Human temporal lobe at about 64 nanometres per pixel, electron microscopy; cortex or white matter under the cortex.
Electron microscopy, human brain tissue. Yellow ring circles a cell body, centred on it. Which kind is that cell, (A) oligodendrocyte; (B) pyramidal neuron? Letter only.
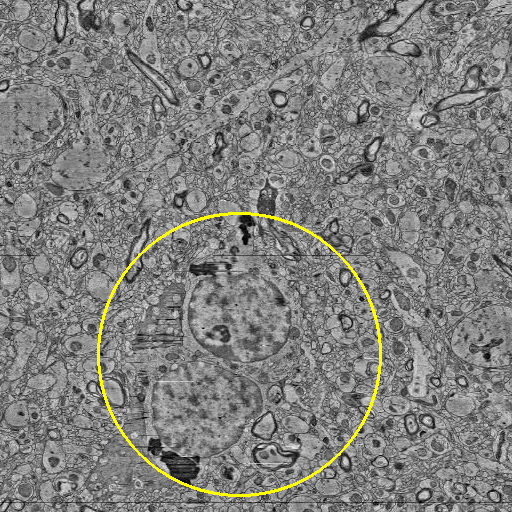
A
